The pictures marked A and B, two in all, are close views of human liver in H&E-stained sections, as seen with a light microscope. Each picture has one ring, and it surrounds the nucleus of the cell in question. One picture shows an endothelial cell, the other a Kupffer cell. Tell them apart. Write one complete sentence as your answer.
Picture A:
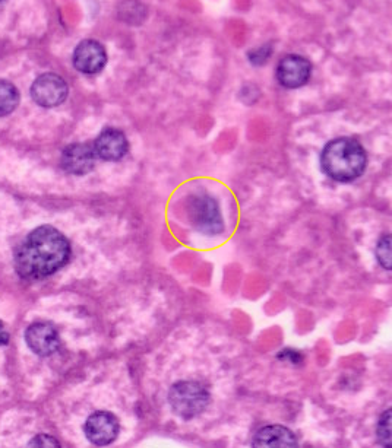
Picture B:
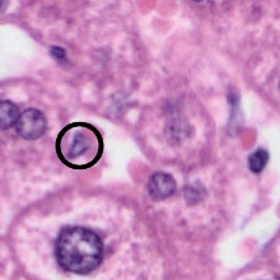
In picture A the cell is an endothelial cell; in picture B, a Kupffer cell.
